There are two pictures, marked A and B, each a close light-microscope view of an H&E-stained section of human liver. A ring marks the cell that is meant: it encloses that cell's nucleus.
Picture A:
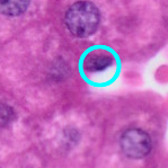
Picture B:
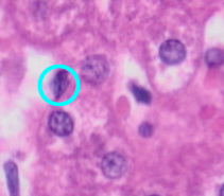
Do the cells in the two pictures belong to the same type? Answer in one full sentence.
Yes, the two pictures both show endothelial cells.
